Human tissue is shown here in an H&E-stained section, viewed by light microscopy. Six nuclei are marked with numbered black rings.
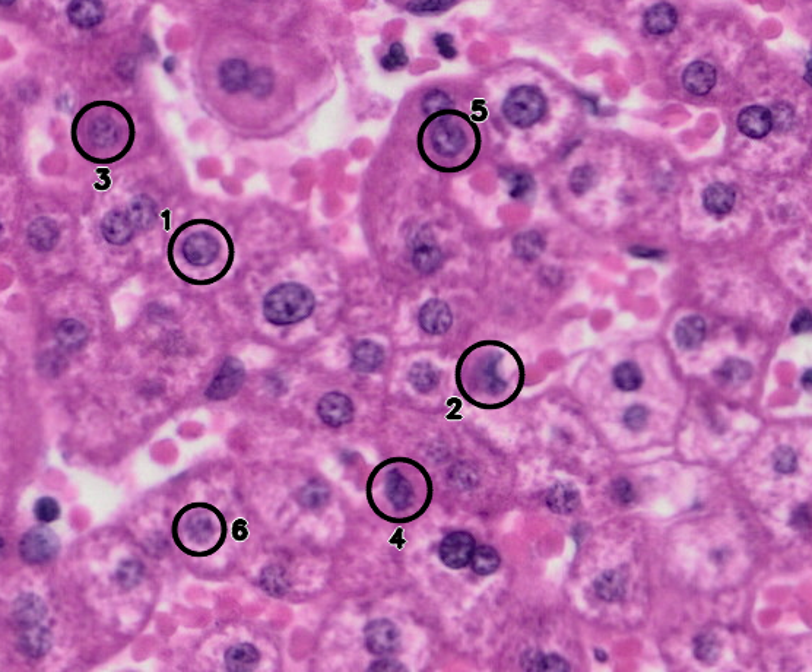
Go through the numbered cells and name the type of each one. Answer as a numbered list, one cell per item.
1. hepatocyte
2. endothelial cell
3. hepatocyte
4. fibroblast or stellate cell
5. hepatocyte
6. hepatocyte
